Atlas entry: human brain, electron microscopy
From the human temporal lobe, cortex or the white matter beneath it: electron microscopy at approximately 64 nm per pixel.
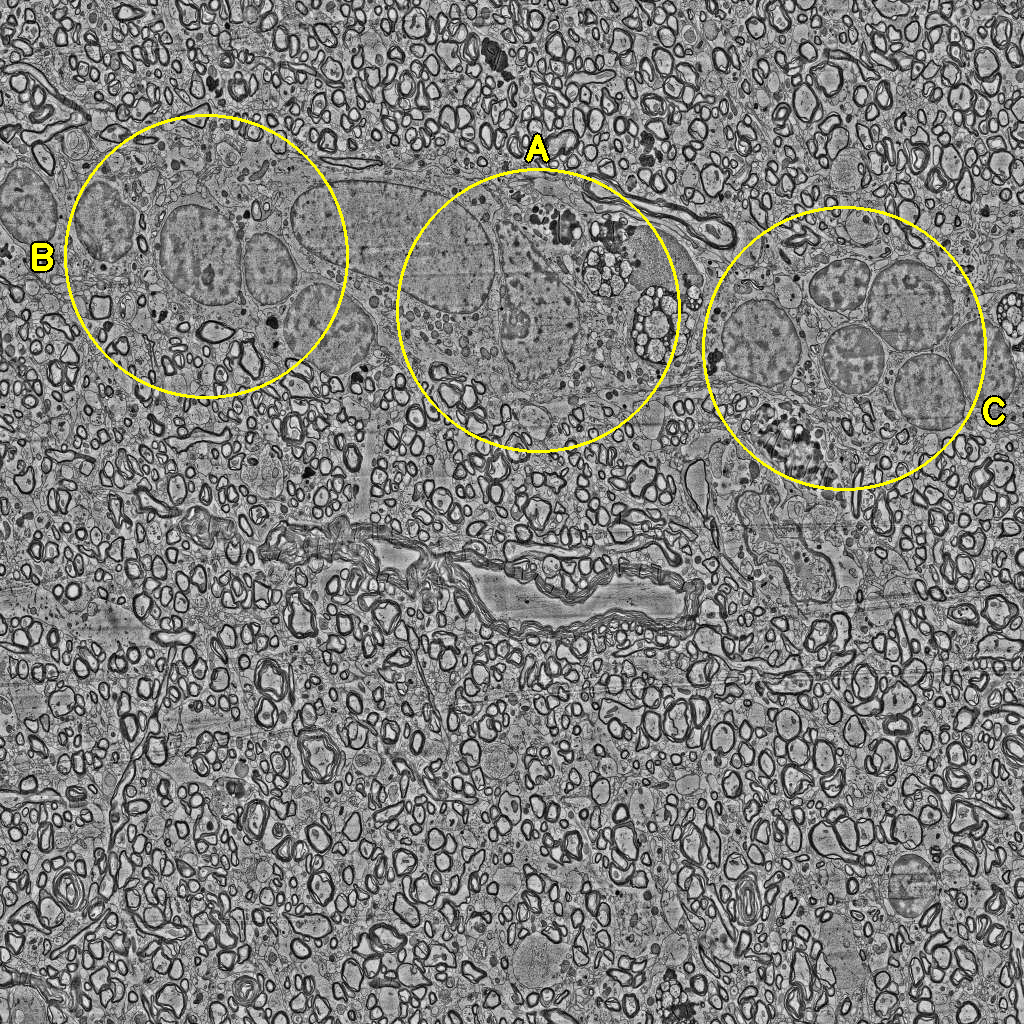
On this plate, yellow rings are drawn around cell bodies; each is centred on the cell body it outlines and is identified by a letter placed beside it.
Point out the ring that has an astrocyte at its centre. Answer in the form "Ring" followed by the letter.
Ring A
